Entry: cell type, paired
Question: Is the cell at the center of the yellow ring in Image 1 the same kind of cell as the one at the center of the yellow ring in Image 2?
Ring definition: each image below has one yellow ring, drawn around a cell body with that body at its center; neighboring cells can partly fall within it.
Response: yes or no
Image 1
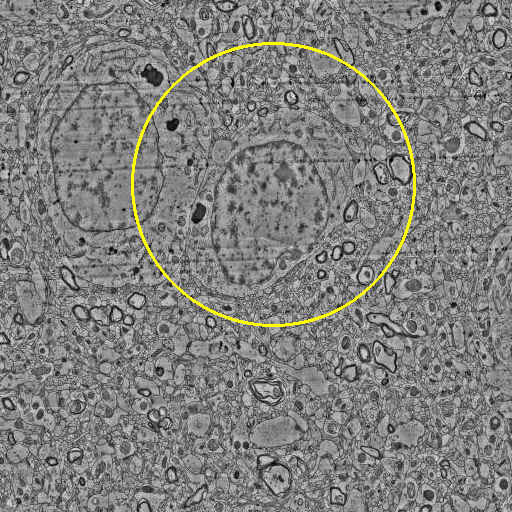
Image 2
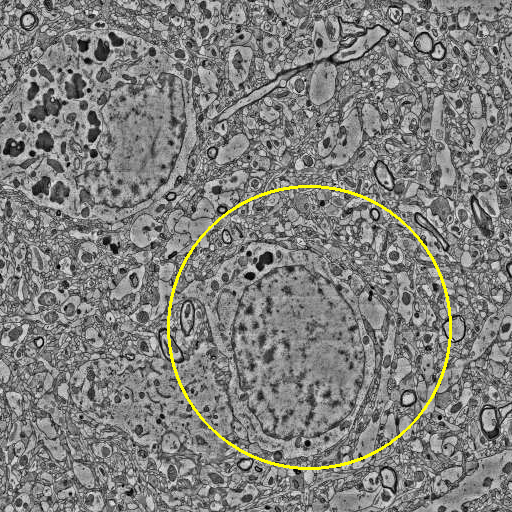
yes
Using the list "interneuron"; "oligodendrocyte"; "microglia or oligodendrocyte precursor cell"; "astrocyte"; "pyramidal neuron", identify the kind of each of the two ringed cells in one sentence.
The cell in the first picture is an interneuron, and so is the one in the second.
